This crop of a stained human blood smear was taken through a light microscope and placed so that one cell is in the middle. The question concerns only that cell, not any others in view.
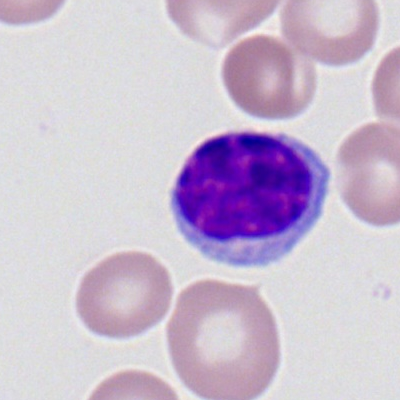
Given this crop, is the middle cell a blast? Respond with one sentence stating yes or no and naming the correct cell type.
No, not a blast: the cell in the middle of this crop is a lymphocyte.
